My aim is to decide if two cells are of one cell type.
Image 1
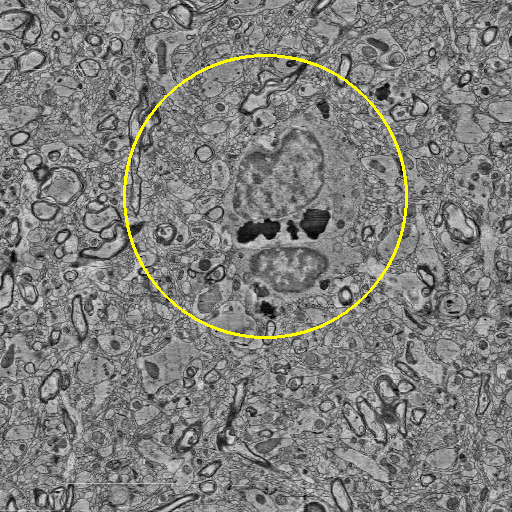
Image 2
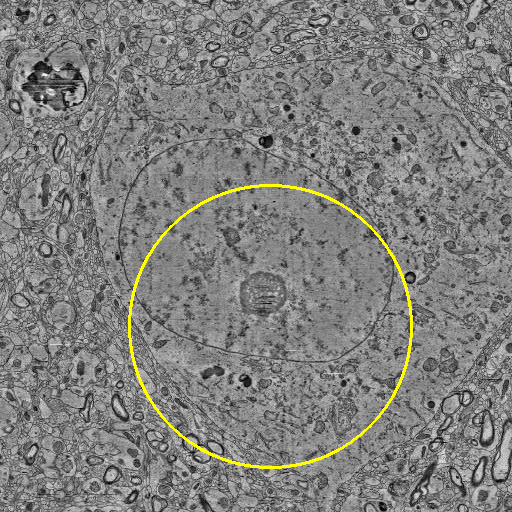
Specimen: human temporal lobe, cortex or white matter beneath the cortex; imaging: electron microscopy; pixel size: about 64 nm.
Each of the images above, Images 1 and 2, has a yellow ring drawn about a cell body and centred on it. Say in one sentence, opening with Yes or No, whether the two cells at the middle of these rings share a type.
No, in Images 1 and 2 the cells at the middle of the rings fall into two types.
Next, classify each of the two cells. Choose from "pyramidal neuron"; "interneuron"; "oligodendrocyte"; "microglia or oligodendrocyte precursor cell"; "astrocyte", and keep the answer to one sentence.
In the first picture it is an oligodendrocyte; in the second it is a pyramidal neuron.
